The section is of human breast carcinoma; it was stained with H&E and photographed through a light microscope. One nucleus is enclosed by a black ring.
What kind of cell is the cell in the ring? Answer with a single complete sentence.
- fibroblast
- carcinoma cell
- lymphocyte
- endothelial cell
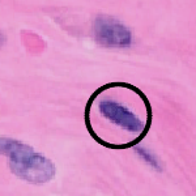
Considered by cell type, the cell in the ring is a lymphocyte.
